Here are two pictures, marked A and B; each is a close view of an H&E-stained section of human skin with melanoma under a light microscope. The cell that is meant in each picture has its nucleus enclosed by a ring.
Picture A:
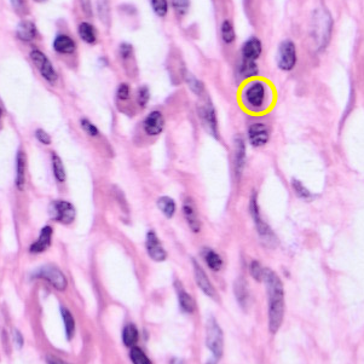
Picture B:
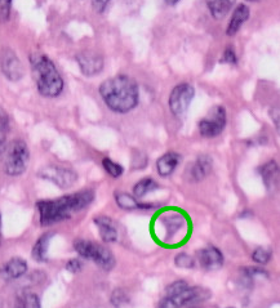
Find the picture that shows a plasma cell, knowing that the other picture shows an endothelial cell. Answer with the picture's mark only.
A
